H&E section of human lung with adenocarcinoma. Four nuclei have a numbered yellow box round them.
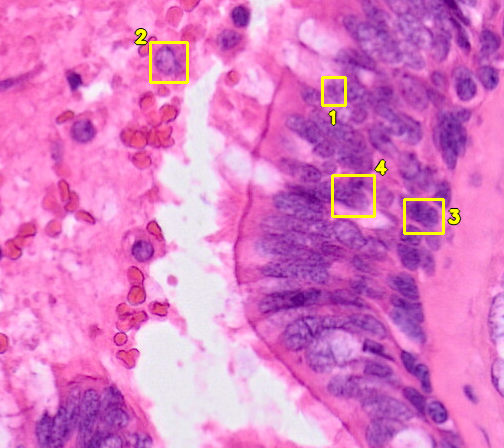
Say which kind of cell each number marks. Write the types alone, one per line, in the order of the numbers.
ciliated epithelial cell
macrophage or monocyte
ciliated epithelial cell
ciliated epithelial cell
